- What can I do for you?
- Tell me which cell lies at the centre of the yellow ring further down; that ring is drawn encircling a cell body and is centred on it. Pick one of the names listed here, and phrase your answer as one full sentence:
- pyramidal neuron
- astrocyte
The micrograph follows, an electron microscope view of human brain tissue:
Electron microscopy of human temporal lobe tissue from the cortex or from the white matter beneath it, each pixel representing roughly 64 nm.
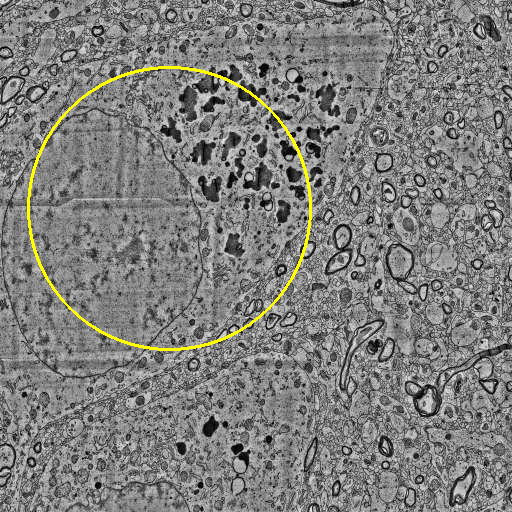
The cell whose body lies at the centre of the yellow ring is a pyramidal neuron.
